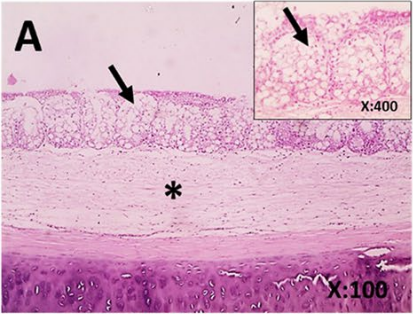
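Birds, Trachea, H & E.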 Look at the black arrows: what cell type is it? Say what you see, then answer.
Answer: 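Goblet cells. The surface mucosa is crowded with pale, vacuolated cells with clear cytoplasm. The inset shows many rounded, foamy-looking cells packed side by side.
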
